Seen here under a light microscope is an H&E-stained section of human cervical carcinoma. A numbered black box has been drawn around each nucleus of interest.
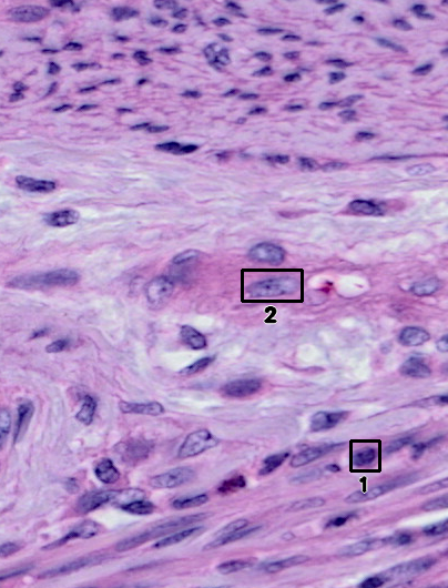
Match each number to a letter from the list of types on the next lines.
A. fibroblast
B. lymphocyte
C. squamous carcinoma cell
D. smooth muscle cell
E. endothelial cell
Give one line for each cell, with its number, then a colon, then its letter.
1: B
2: E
